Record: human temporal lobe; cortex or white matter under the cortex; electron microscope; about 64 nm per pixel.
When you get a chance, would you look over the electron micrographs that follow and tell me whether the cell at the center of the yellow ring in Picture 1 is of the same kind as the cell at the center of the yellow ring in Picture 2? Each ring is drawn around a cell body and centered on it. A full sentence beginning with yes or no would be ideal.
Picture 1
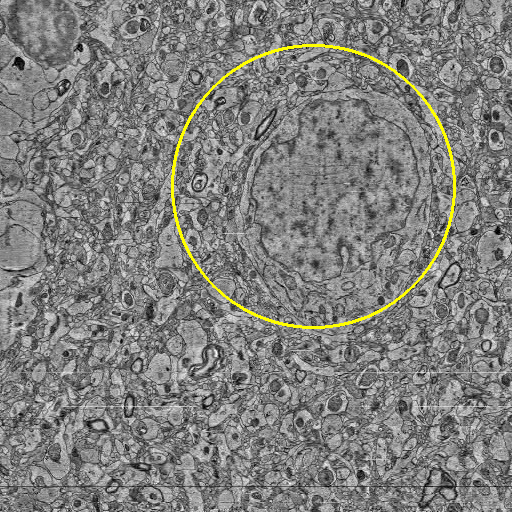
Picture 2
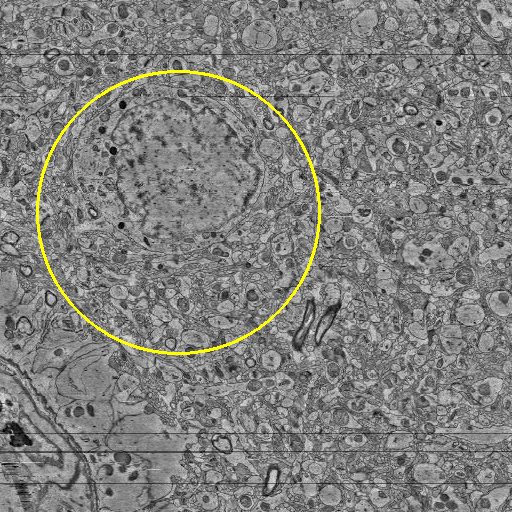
Yes, the two cells are of the same kind.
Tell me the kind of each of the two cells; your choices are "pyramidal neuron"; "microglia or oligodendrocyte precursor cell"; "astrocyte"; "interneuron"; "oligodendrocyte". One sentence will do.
In the first picture and in the second, the ring is centred on an interneuron.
